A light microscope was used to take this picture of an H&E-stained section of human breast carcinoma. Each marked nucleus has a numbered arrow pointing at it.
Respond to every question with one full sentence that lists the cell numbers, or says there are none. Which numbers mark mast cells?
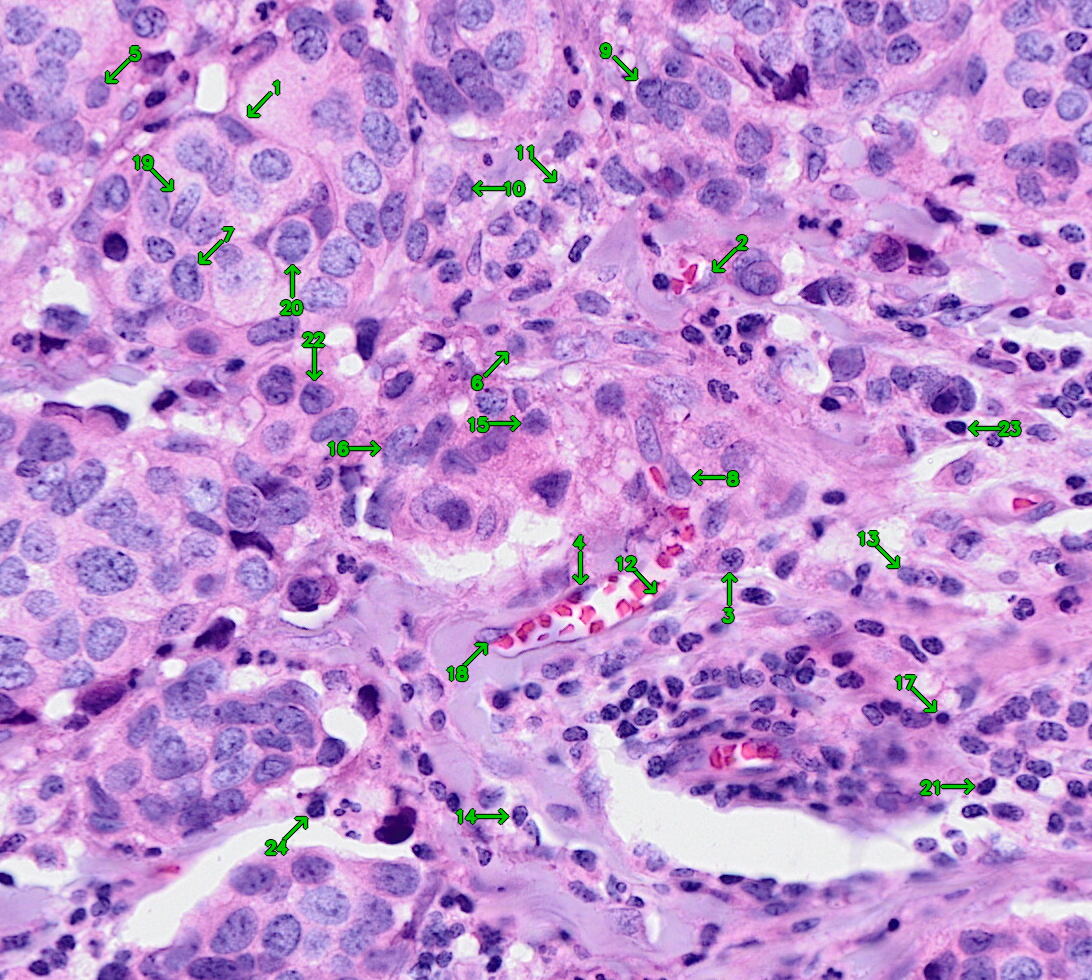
Cell 13 is a mast cell, which is true of none of the other numbered cells.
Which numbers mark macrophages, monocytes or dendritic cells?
The cells numbered 3, 6, 10 and 11 fall into the category of macrophages, monocytes or dendritic cells.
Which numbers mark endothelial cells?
Each of the cells numbered 2, 4, 8, 12 and 18 is among the endothelial cells.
